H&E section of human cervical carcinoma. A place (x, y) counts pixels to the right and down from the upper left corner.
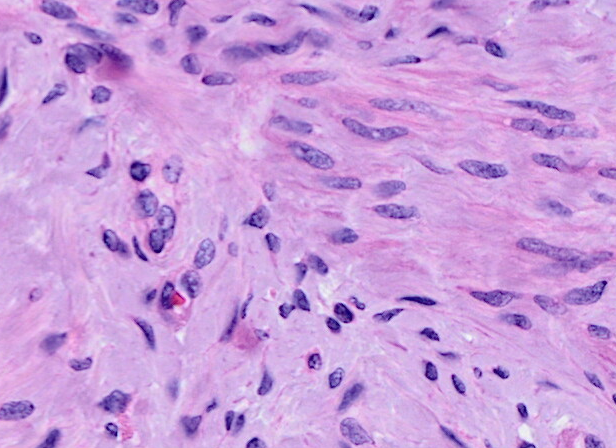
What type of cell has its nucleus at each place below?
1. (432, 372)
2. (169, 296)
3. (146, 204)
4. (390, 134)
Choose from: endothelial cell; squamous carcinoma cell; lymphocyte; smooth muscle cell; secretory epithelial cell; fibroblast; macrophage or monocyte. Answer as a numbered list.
1. fibroblast
2. endothelial cell
3. endothelial cell
4. smooth muscle cell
